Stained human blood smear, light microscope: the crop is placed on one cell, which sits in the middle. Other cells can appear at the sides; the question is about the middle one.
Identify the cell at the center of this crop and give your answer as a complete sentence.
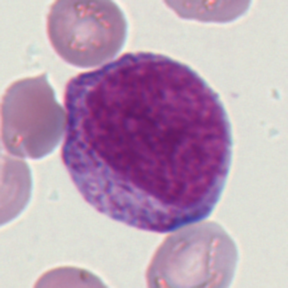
The centered cell in this crop is a promyelocyte.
